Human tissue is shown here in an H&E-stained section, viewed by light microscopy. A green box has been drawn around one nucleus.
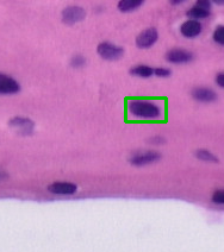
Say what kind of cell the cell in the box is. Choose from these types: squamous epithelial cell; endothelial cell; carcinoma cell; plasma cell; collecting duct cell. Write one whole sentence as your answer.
The cell in the box appears to be a squamous epithelial cell.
